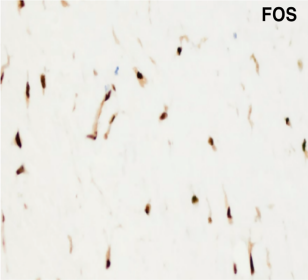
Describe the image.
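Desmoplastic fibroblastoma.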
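Hypocellular tumour of slender spindle cells scattered singly within a pale, abundant collagenous stroma. Many nuclei are dark brown, elongated or ovoid, some with thin tapering cytoplasmic extensions; a few nuclei stain blue. Cells are widely spaced with no fascicular arrangement and no pleomorphism evident. Background matrix is faint and nearly structureless at this magnification.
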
